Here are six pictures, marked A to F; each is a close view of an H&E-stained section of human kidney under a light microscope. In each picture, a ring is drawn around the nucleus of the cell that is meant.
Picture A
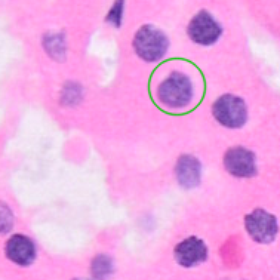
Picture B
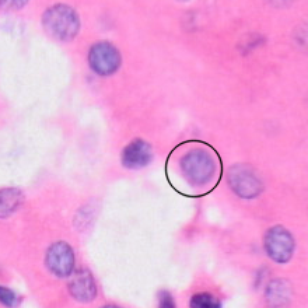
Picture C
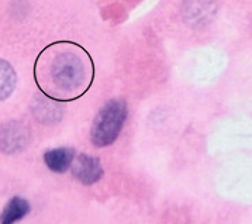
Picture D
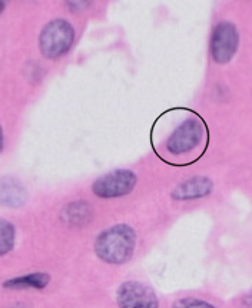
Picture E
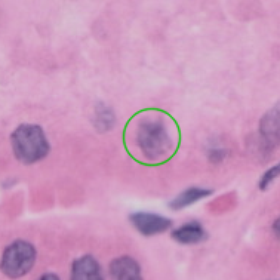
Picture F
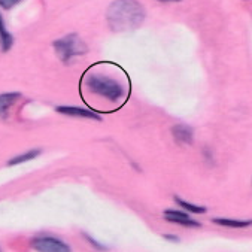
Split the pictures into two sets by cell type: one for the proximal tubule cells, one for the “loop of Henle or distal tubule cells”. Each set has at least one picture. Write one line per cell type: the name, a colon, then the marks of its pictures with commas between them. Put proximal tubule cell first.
proximal tubule cell: C, E
loop of Henle or distal tubule cell: A, B, D, F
